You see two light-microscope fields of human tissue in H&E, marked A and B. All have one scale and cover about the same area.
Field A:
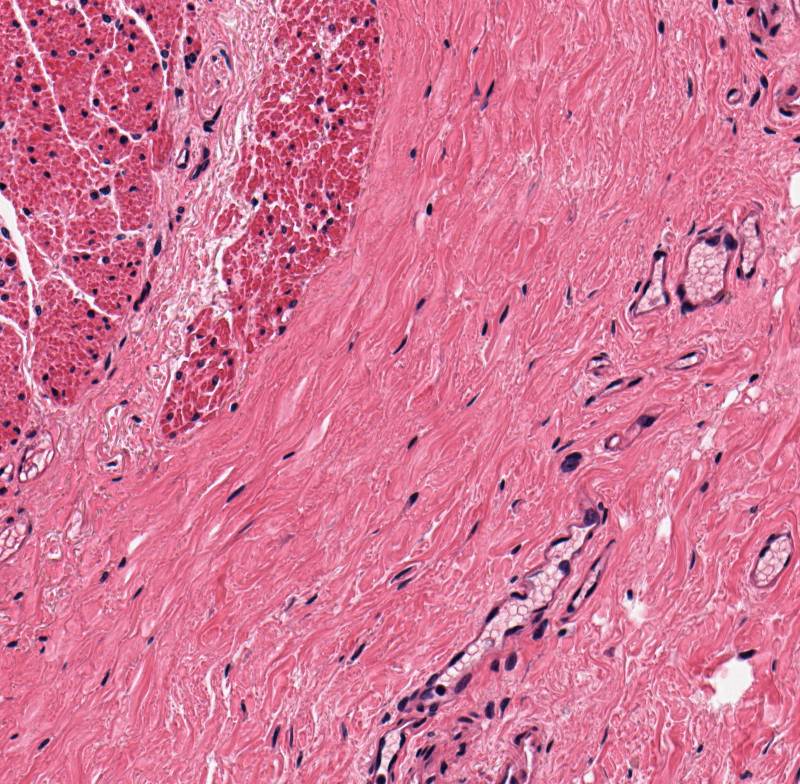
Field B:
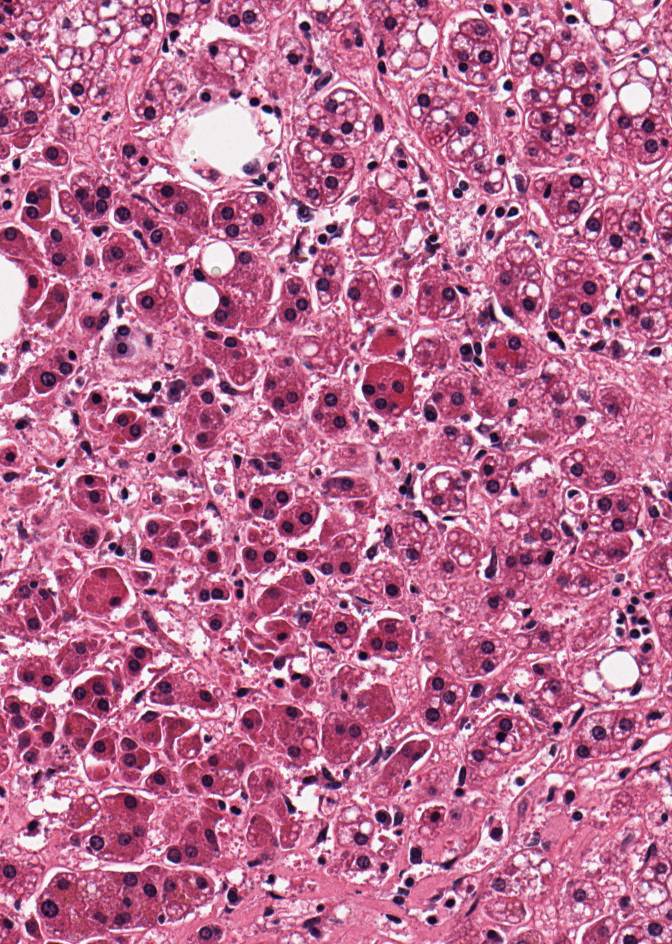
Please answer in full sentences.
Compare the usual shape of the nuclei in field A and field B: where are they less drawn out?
The nuclei are rounder in field B.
